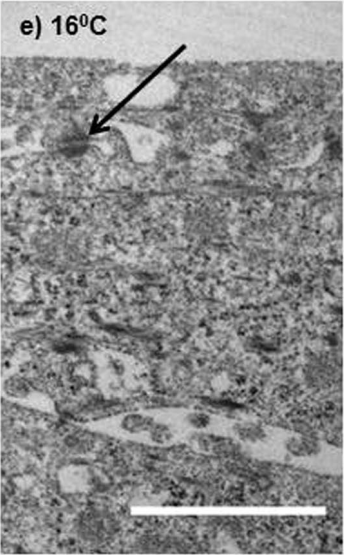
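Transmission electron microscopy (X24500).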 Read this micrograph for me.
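Closely packed cells are seen at high magnification, their cytoplasm densely granular and speckled with dark particles. Pale, narrow spaces run between neighbouring cells, and along the cell borders small, dark, compact plaques join the opposed membranes; one such plaque near the top is pointed out. Dark, thin streaks of filaments course through the cytoplasm in a roughly parallel direction.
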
